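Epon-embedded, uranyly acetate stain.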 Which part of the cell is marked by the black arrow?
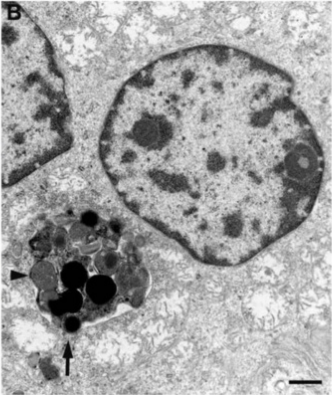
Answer: dense and granular osmiophilic lipopigment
